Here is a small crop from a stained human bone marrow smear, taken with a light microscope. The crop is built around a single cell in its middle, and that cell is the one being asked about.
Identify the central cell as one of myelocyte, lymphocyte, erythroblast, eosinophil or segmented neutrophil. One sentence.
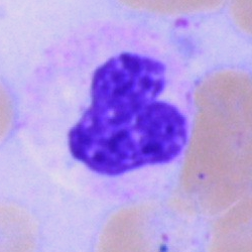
In this smear crop, the middle cell is a segmented neutrophil.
